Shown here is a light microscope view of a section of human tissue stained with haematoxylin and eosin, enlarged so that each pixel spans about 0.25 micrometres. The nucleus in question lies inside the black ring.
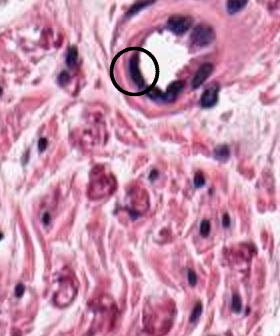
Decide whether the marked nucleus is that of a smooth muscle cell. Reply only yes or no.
no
